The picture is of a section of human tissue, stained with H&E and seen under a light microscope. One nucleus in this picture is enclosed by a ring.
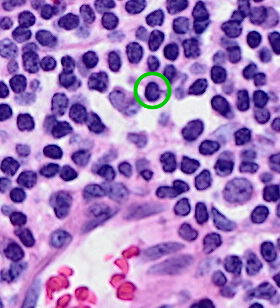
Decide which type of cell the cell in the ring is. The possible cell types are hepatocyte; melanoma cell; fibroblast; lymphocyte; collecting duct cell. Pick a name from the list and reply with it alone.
lymphocyte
